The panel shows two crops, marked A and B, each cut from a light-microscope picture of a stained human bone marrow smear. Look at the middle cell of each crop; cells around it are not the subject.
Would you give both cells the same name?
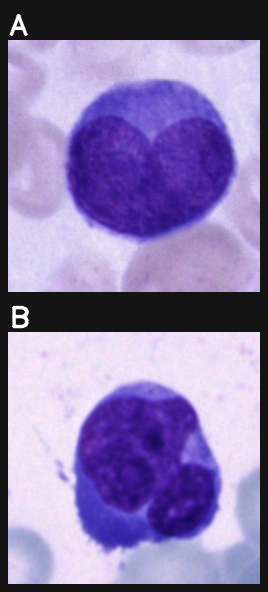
yes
